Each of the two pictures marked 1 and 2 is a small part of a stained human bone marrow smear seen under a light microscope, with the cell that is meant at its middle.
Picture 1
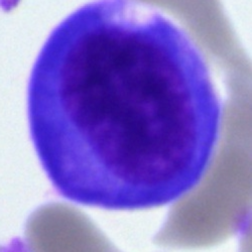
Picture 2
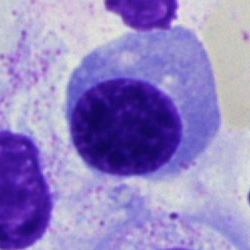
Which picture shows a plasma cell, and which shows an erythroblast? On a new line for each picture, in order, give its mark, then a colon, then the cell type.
1: plasma cell
2: erythroblast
